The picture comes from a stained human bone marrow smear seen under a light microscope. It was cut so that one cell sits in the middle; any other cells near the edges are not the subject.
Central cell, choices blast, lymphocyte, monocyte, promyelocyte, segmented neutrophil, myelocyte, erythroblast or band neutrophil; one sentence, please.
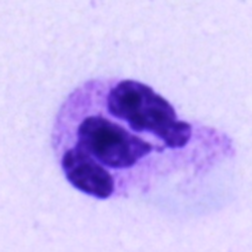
On this slide crop, the central cell is a segmented neutrophil.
